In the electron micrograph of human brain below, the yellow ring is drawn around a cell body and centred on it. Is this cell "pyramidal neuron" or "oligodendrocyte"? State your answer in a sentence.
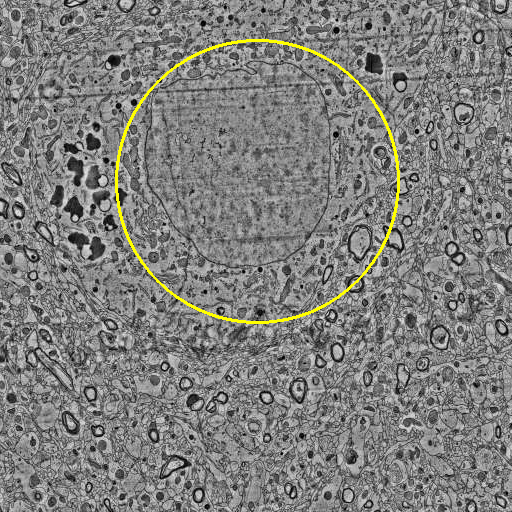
The cell in the middle of the ring is a pyramidal neuron.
